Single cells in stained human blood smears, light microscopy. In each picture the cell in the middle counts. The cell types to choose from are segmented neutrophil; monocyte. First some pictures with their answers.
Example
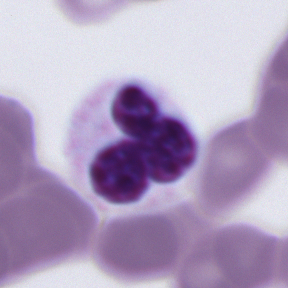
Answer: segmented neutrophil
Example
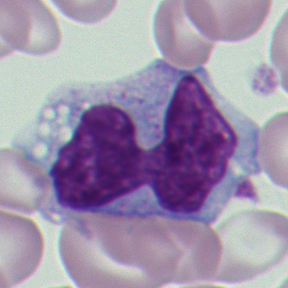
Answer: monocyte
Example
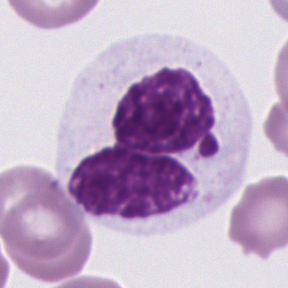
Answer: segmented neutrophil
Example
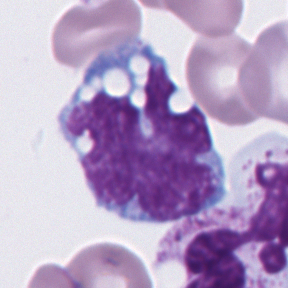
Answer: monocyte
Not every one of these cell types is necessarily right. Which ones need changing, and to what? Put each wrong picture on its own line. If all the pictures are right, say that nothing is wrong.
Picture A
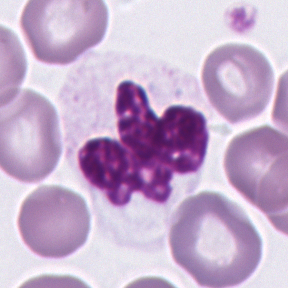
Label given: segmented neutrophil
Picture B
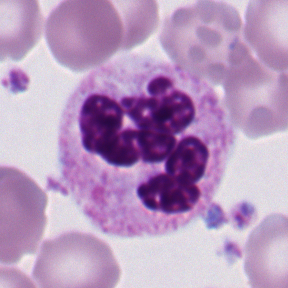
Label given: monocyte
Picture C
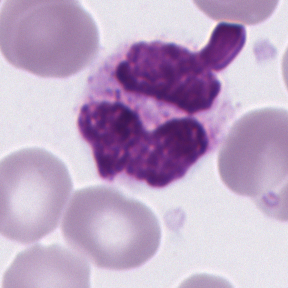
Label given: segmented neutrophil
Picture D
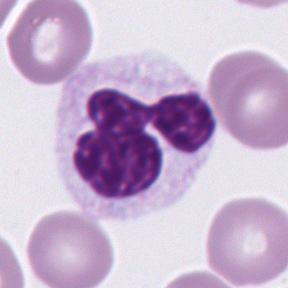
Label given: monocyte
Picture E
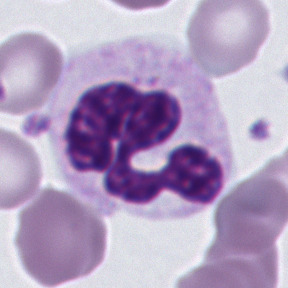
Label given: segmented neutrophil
Wrong: B (monocyte); correct: segmented neutrophil
Wrong: D (monocyte); correct: segmented neutrophil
